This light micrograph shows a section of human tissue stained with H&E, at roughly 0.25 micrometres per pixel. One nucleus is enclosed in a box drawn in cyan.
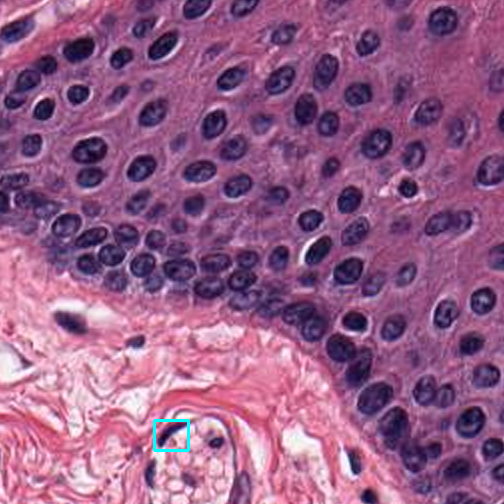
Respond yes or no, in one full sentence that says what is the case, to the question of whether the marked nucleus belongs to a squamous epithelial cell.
No, instead of being part of a squamous epithelial cell, the marked nucleus is part of a supporting cell.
